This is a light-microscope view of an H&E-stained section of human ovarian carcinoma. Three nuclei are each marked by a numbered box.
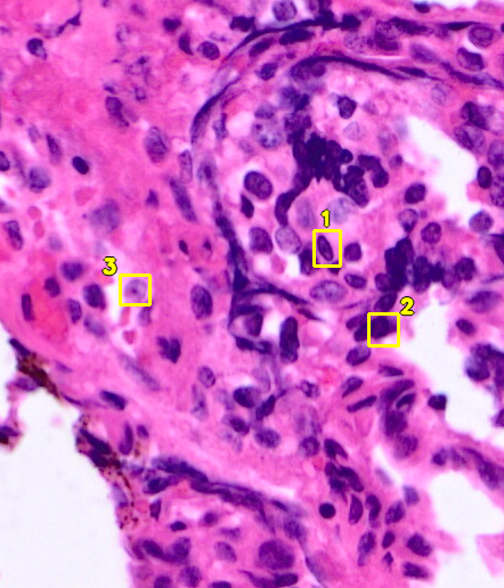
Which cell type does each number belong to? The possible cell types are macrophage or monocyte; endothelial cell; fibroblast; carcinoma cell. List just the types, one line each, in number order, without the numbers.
macrophage or monocyte
carcinoma cell
macrophage or monocyte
